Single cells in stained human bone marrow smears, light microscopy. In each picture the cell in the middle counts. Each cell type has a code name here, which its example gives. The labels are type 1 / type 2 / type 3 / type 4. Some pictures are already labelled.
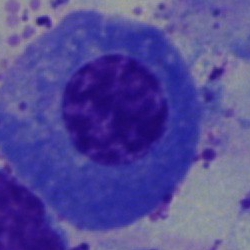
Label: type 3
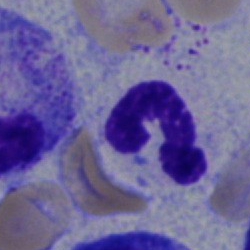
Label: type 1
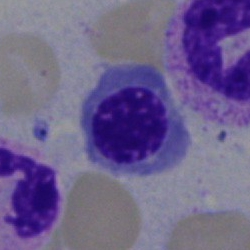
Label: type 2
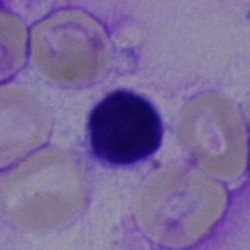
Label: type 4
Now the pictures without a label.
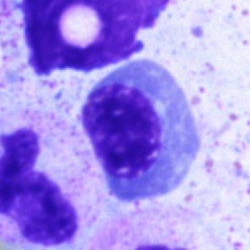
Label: type 2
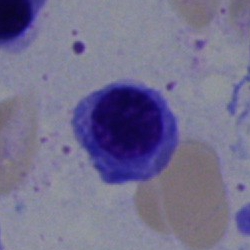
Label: type 2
